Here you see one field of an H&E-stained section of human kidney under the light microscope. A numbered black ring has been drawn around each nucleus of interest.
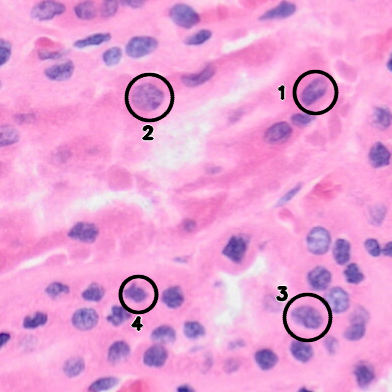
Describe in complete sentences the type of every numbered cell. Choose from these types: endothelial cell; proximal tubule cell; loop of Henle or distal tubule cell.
Cell 1 is a proximal tubule cell, cell 2 is a proximal tubule cell, cell 3 is a loop of Henle or distal tubule cell and cell 4 is a loop of Henle or distal tubule cell.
